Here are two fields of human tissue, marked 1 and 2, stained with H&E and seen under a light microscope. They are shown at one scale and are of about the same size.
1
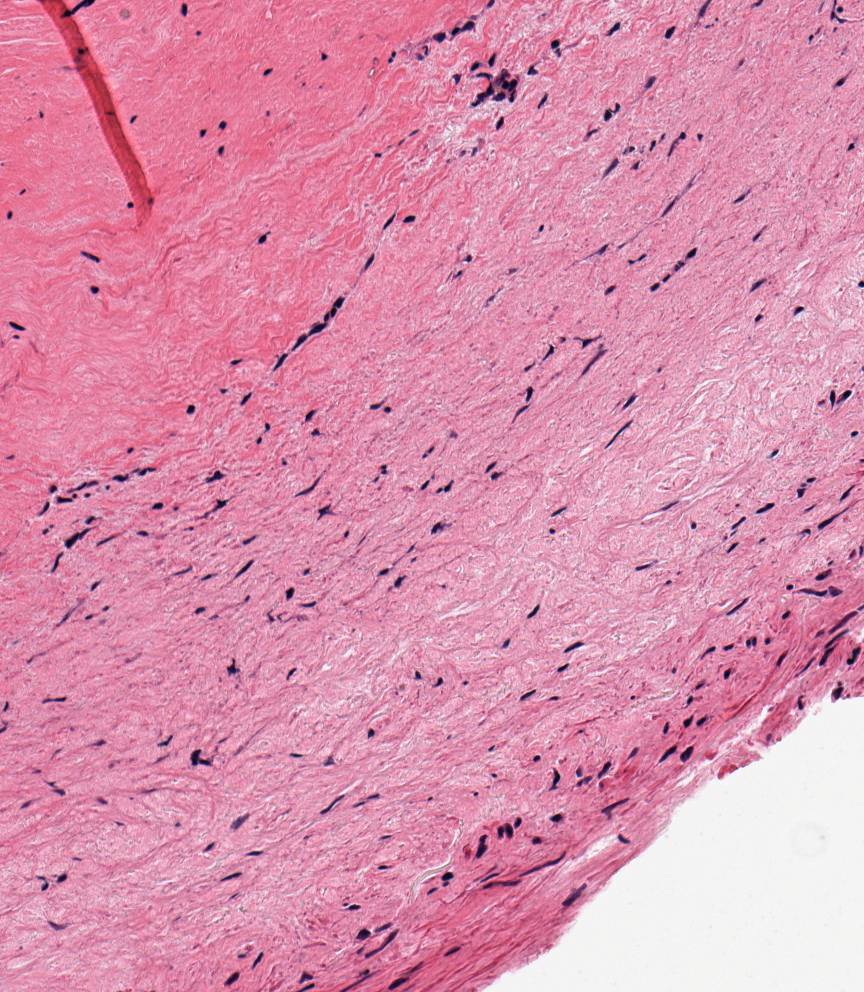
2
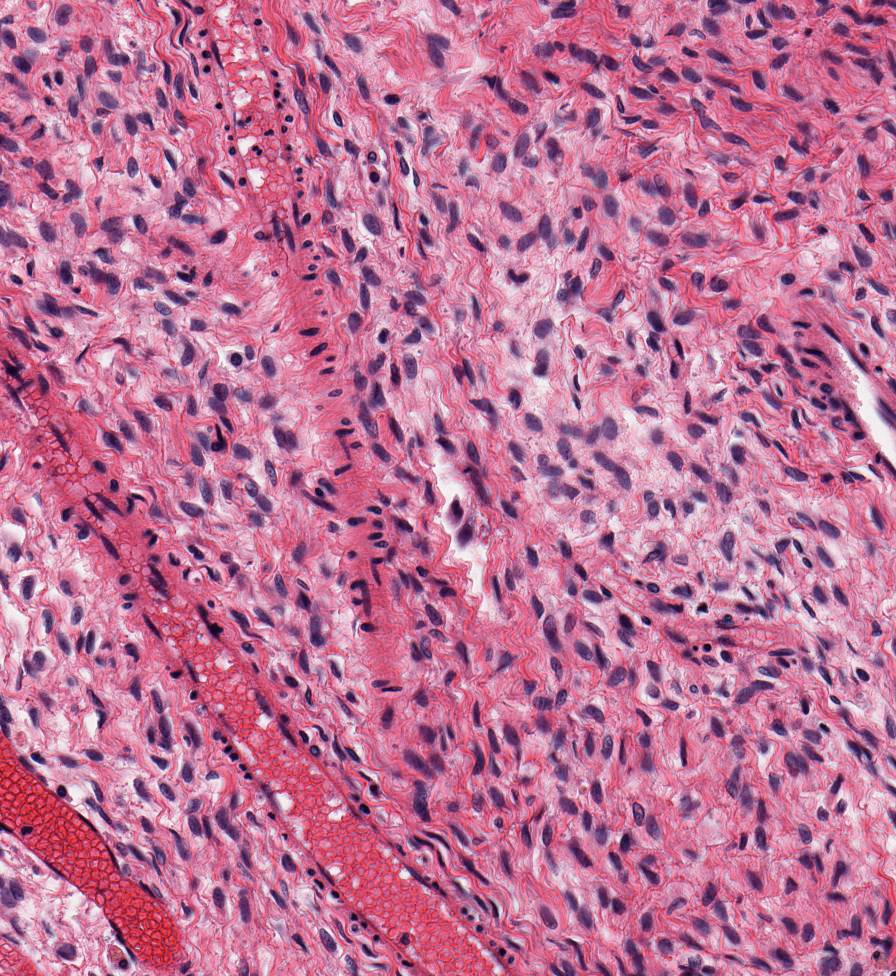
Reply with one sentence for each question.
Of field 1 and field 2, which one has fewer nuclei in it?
The smaller number of nuclei is in field 1.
